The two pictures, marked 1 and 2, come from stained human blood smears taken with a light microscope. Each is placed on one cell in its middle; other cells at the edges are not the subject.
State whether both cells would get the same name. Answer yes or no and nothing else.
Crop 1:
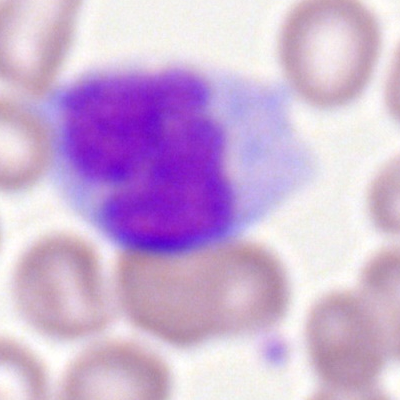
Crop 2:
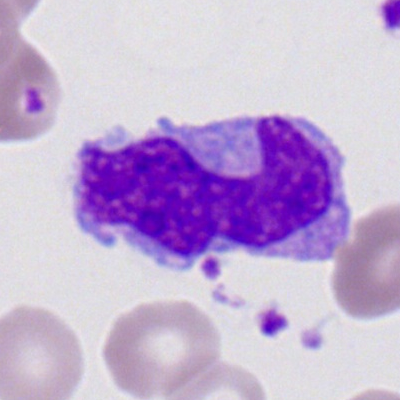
yes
